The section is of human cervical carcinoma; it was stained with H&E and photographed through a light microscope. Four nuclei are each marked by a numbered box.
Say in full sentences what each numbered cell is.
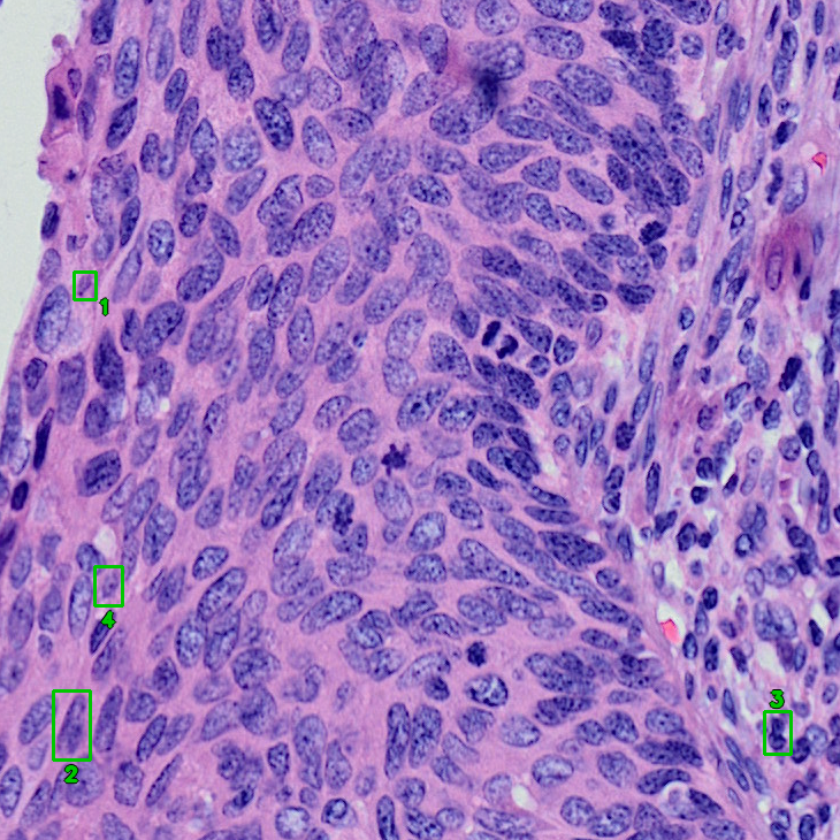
Cells 1, 2 and 4 are squamous carcinoma cells. Cell 3 is a lymphocyte.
